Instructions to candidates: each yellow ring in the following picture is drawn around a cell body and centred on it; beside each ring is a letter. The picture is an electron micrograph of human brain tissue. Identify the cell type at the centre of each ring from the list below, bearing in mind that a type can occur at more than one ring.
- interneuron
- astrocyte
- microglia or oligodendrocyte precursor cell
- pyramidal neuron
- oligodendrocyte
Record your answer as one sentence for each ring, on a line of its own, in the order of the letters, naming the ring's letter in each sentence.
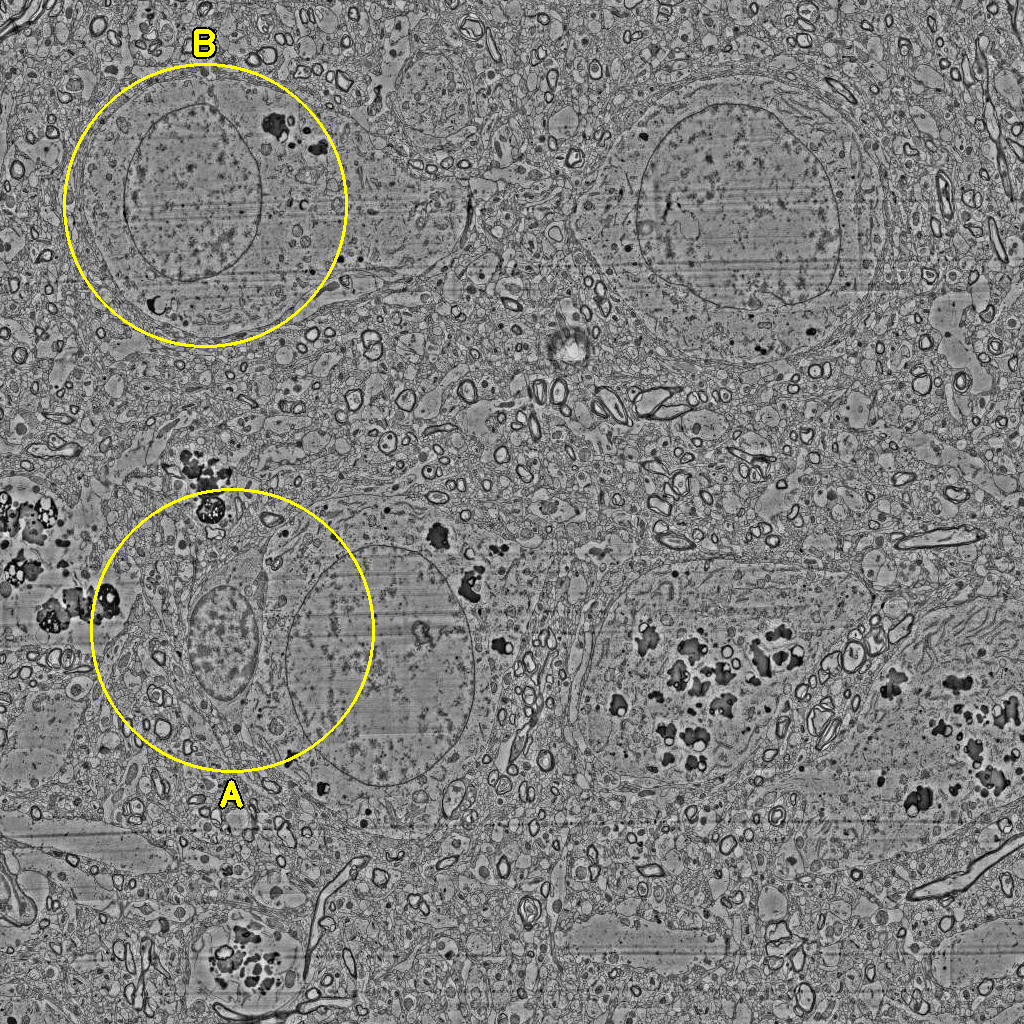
The cell centred in ring A is an oligodendrocyte.
The cell centred in ring B is a pyramidal neuron.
